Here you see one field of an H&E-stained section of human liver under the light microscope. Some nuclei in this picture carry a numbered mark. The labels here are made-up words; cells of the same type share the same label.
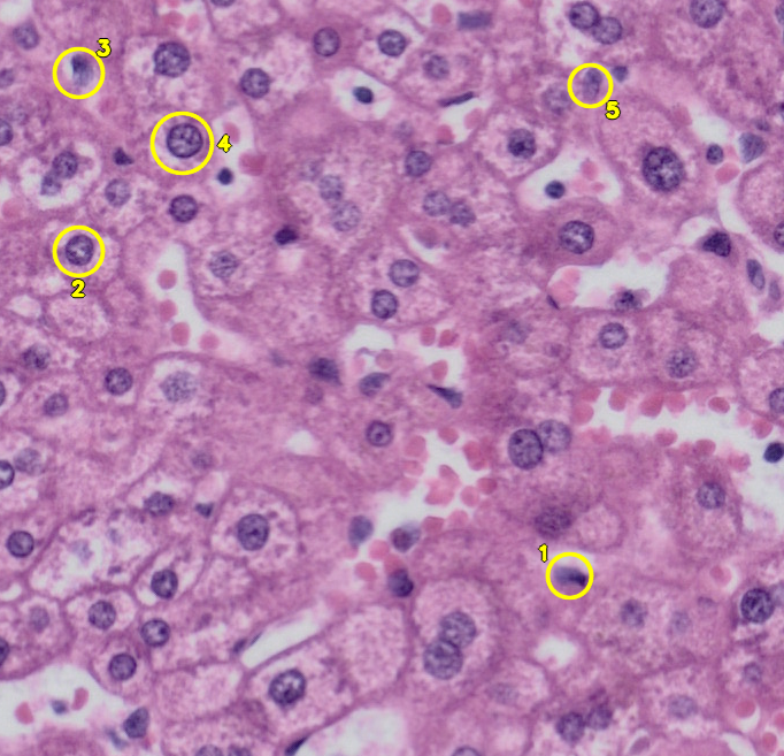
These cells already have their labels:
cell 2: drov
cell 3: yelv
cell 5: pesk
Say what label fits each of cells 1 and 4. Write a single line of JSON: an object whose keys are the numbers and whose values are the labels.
{"1": "pesk", "4": "drov"}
